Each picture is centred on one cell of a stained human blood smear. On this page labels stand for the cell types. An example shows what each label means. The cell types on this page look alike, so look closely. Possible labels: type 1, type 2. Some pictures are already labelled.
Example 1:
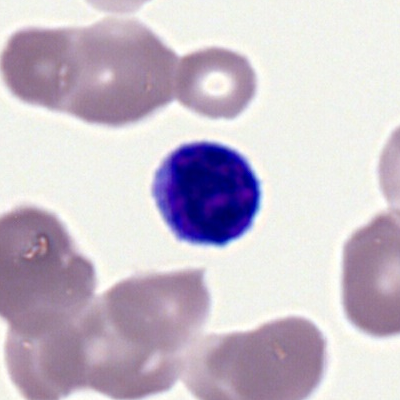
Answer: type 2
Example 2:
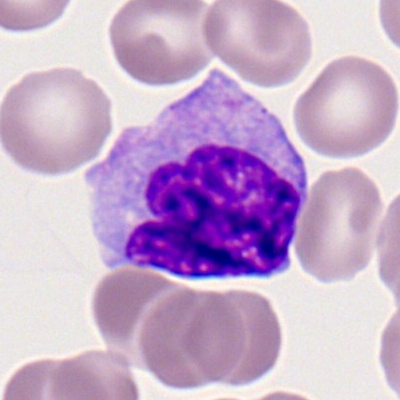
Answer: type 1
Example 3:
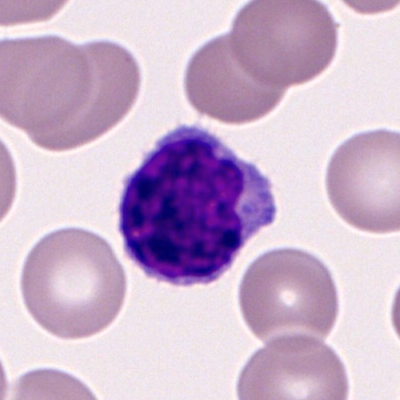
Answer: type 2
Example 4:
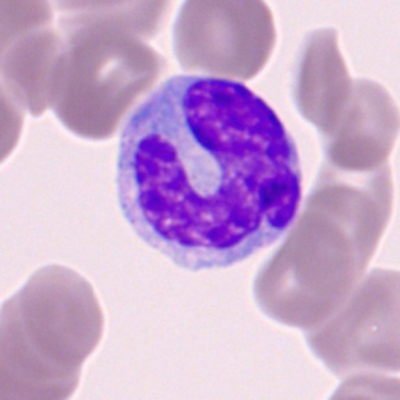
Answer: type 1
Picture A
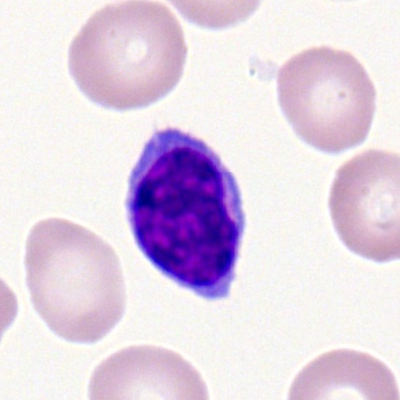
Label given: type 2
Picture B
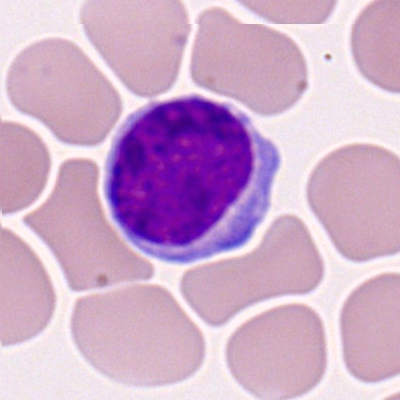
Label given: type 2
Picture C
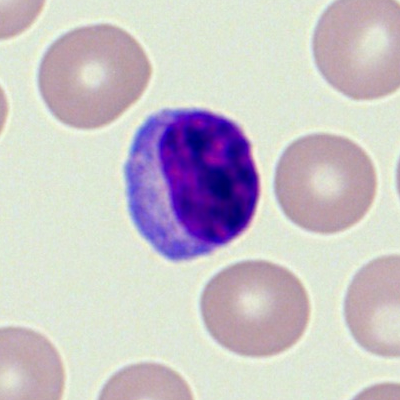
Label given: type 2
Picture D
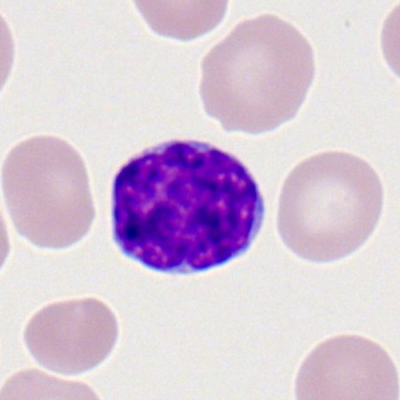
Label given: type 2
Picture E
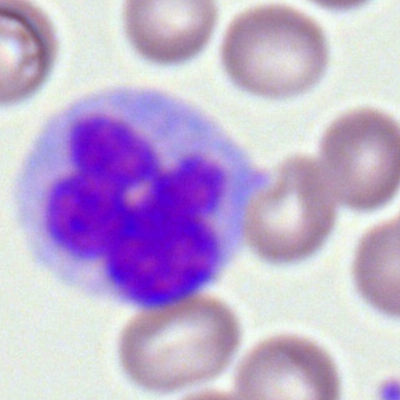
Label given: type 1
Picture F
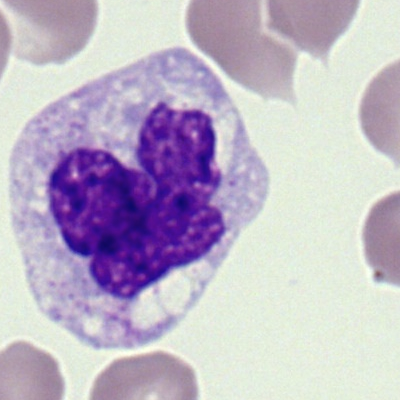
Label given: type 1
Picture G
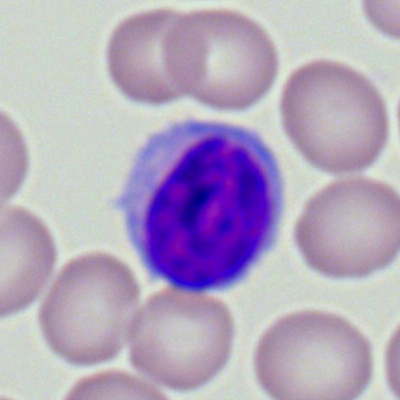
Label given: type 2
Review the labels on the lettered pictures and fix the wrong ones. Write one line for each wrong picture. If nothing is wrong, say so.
Nothing to fix; every label fits.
